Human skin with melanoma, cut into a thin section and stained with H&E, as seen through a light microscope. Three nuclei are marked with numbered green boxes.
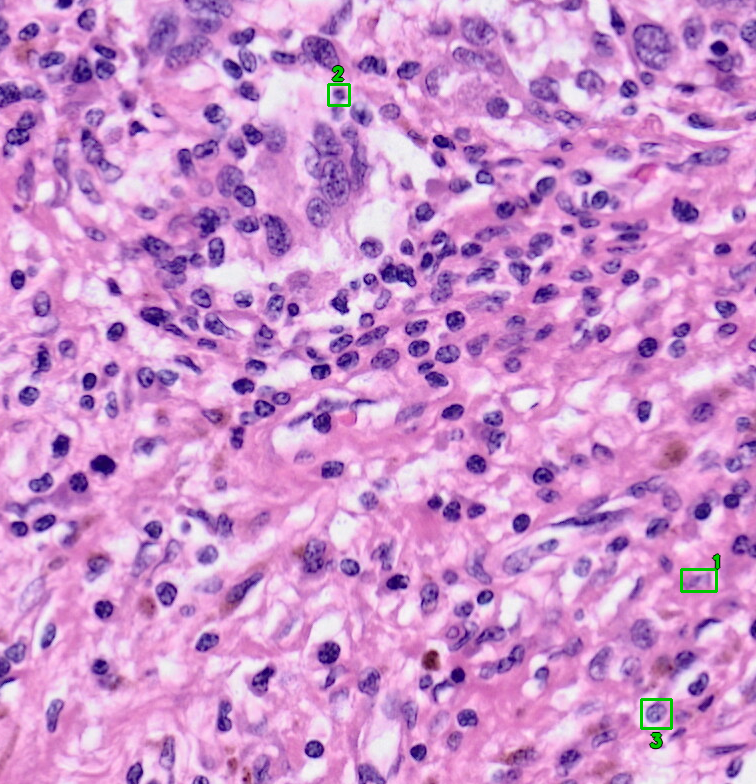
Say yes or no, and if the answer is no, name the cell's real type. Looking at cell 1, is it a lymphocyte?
No, it is a fibroblast or myofibroblast.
